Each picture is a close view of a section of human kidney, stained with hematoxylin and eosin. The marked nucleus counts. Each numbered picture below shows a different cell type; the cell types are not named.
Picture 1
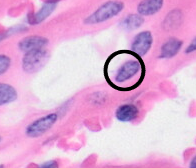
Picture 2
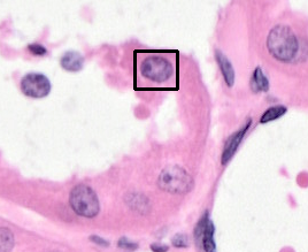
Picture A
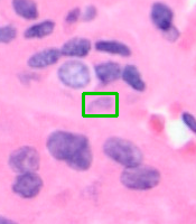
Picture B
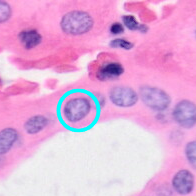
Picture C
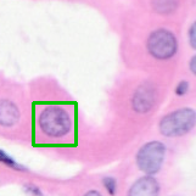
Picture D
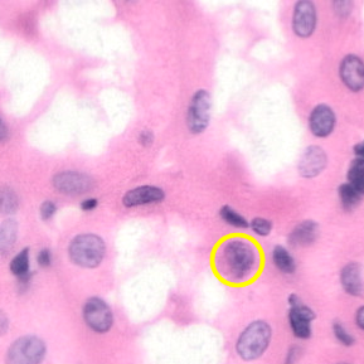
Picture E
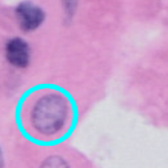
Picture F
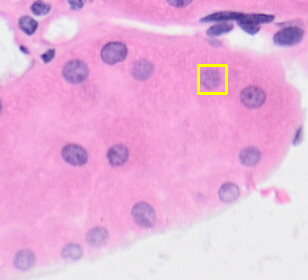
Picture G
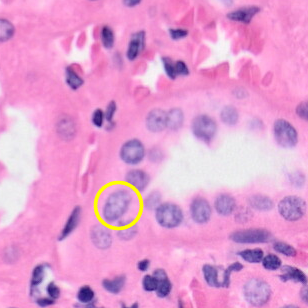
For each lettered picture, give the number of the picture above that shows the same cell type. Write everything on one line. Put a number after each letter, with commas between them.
A 1, B 1, C 2, D 2, E 2, F 2, G 1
